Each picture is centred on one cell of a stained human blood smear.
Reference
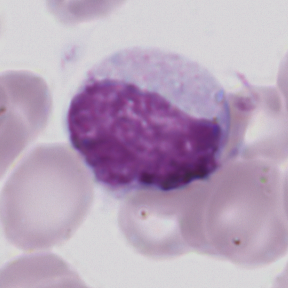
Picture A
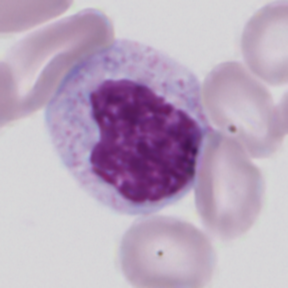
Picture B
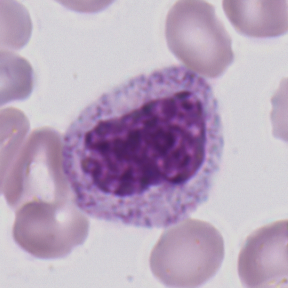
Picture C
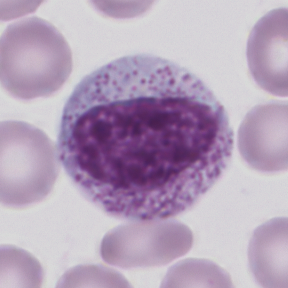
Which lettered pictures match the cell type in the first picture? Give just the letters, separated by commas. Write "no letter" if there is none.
A, B, C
